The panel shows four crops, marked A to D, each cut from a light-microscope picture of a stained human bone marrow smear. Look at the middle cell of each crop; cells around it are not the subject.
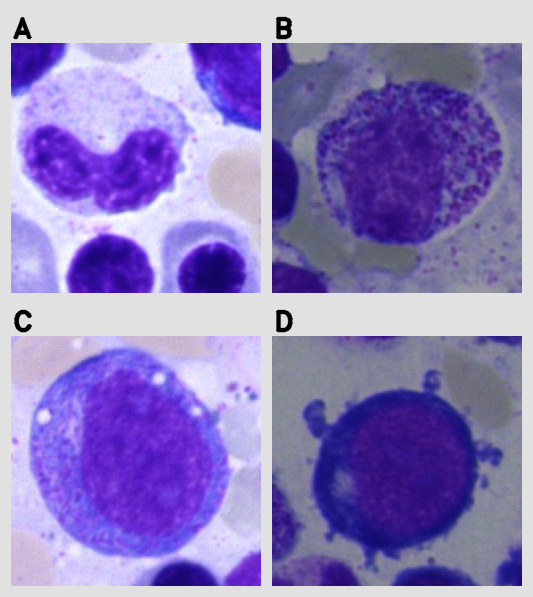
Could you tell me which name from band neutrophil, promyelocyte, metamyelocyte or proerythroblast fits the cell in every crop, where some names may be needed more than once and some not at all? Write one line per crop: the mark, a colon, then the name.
A: band neutrophil
B: promyelocyte
C: promyelocyte
D: proerythroblast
